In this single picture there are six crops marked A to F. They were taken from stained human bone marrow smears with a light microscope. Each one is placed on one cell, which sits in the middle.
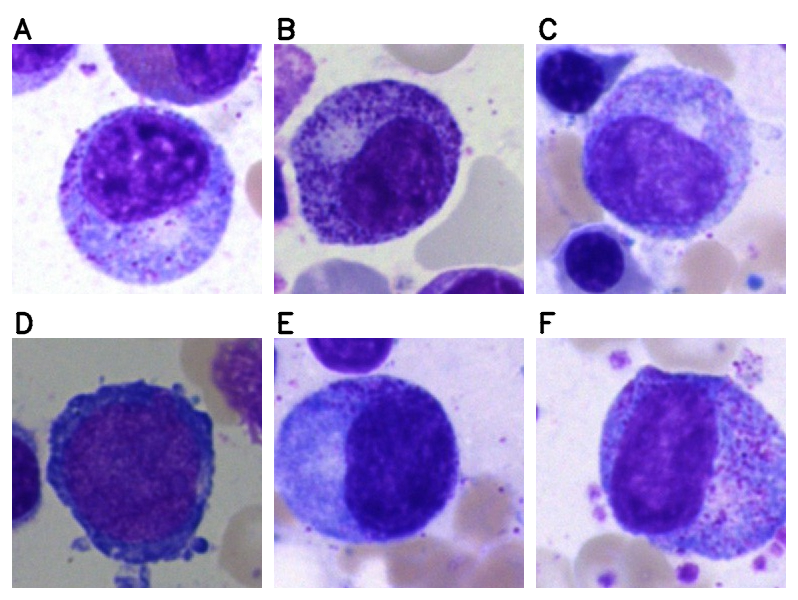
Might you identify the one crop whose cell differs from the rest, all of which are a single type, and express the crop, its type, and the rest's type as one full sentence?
What sets crop D apart is that it shows a proerythroblast, while the others show promyelocytes.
